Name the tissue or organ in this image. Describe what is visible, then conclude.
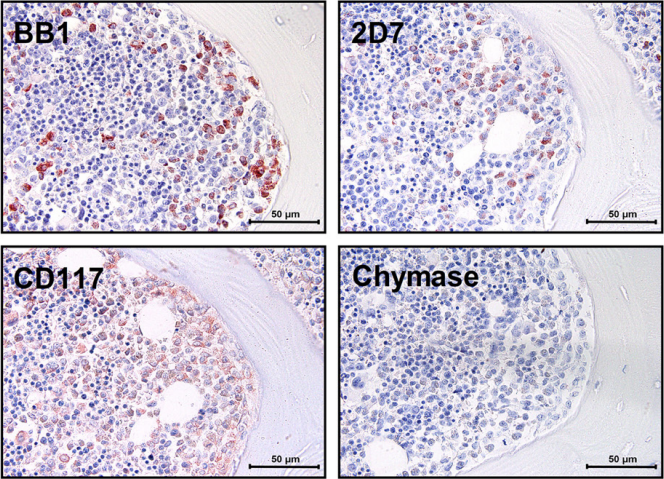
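Densely packed small round haematopoietic-type cells fill the section. Round empty spaces of fat cells lie among the cells. A pale, acellular band of bone borders the cellular tissue on the right. So: bone marrow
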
